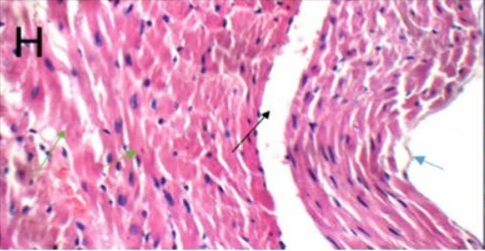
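Cardiac muscle fibres cut lengthwise, stained pink, run in parallel from upper left to lower right with elongated to oval dark blue nuclei lying within them. A curved clear cleft runs through the right half of the field, separating two bundles of fibres. Scattered fibres at the left are paler or more deeply pink than their neighbours.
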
